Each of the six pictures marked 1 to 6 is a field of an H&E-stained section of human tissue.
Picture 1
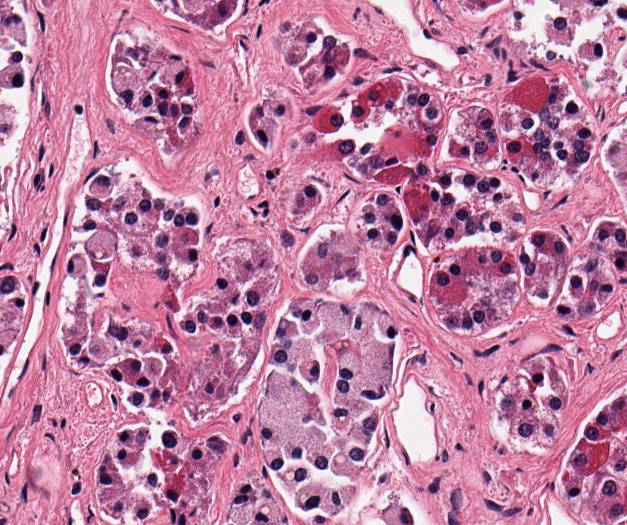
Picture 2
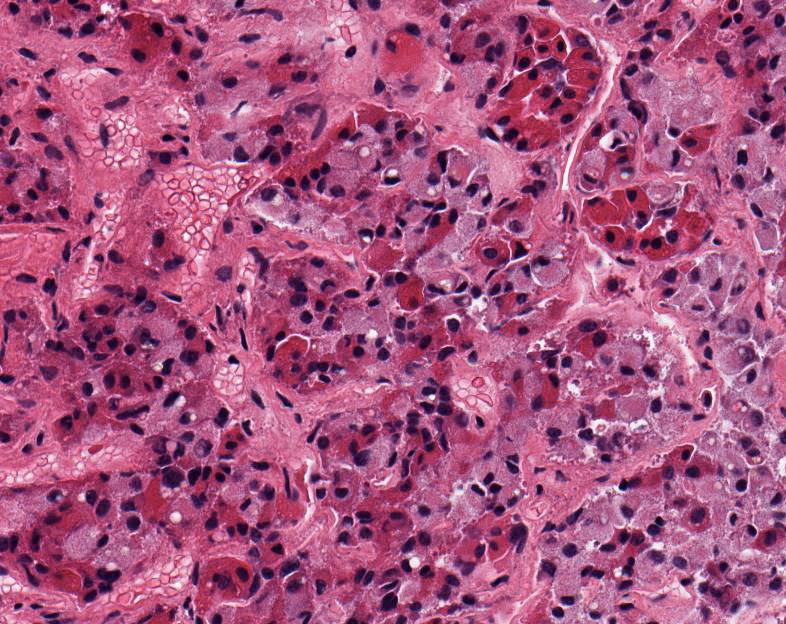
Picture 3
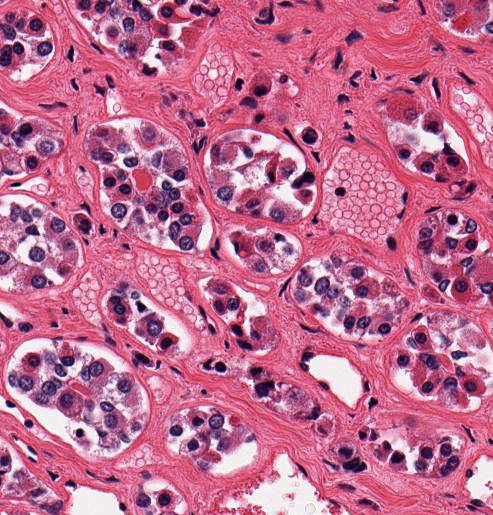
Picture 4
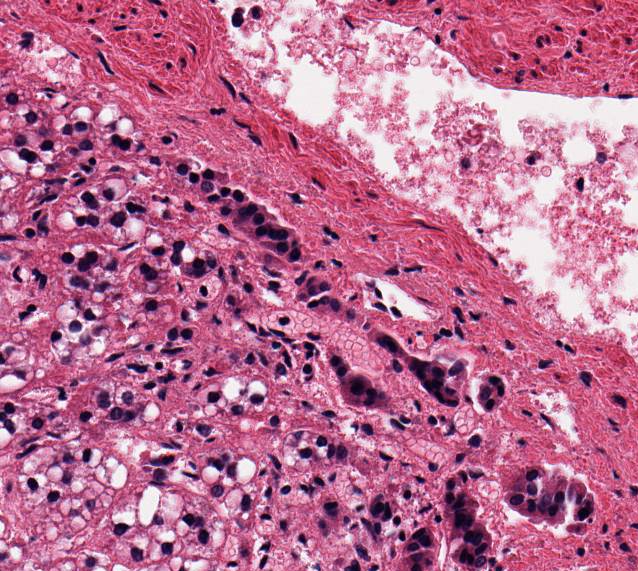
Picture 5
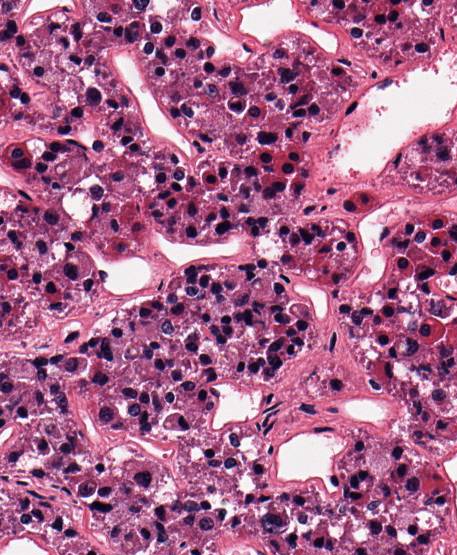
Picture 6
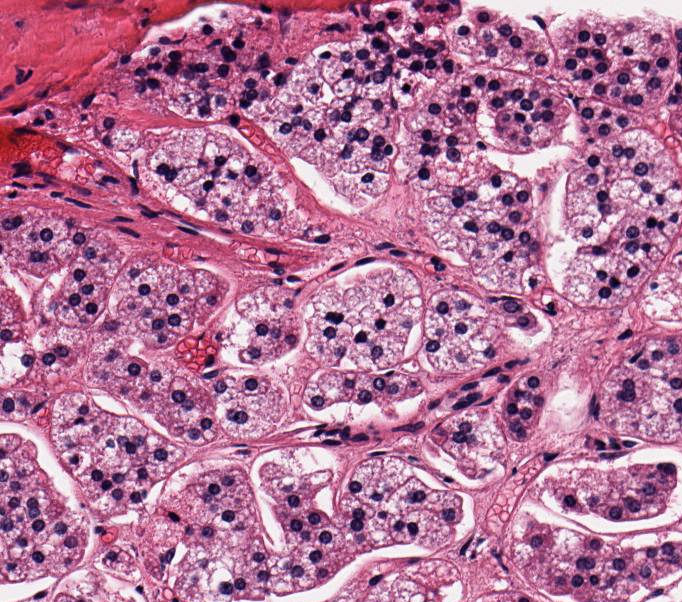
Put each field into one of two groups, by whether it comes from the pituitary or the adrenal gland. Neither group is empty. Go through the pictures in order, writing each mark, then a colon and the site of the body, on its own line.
1: pituitary
2: pituitary
3: pituitary
4: adrenal gland
5: pituitary
6: adrenal gland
